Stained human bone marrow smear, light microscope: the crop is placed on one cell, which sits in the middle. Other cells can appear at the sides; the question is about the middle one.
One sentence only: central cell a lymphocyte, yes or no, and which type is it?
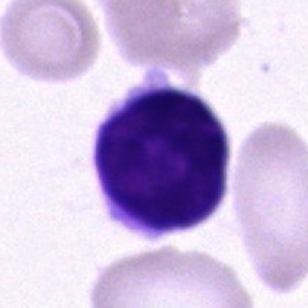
Yes, the cell in the middle has the identity of a lymphocyte.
